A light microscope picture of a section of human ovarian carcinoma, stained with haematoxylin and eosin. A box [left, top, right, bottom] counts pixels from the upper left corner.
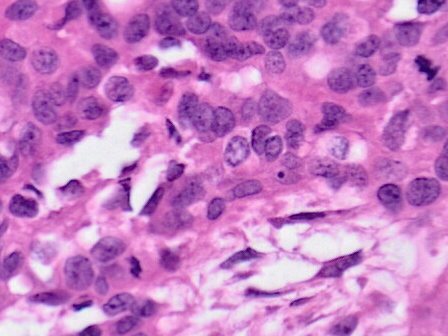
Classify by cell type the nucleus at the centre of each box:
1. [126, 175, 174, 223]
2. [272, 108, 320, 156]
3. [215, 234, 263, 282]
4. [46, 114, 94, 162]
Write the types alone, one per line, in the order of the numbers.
carcinoma cell
carcinoma cell
fibroblast
carcinoma cell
